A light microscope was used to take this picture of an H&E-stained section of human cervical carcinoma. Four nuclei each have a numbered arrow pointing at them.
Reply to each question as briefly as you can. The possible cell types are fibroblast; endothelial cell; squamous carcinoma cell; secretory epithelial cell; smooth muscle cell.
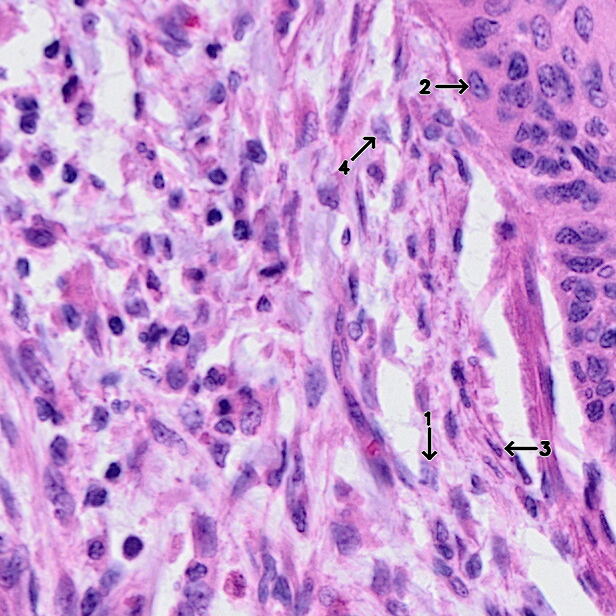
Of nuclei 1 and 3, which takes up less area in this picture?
3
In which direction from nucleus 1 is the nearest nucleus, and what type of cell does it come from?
a fibroblast to the left of nucleus 1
